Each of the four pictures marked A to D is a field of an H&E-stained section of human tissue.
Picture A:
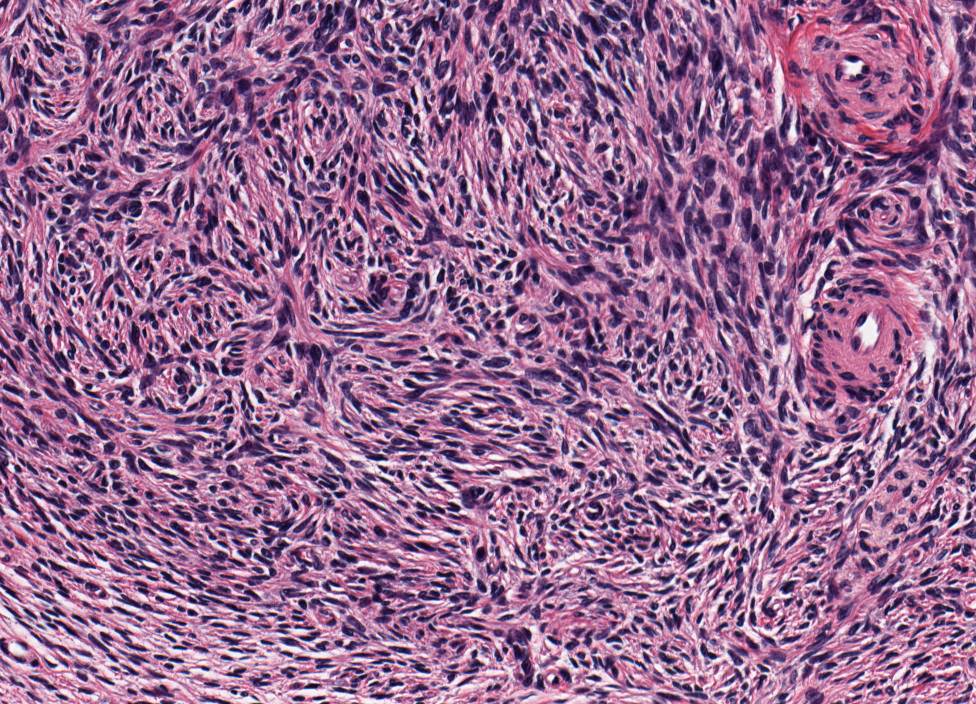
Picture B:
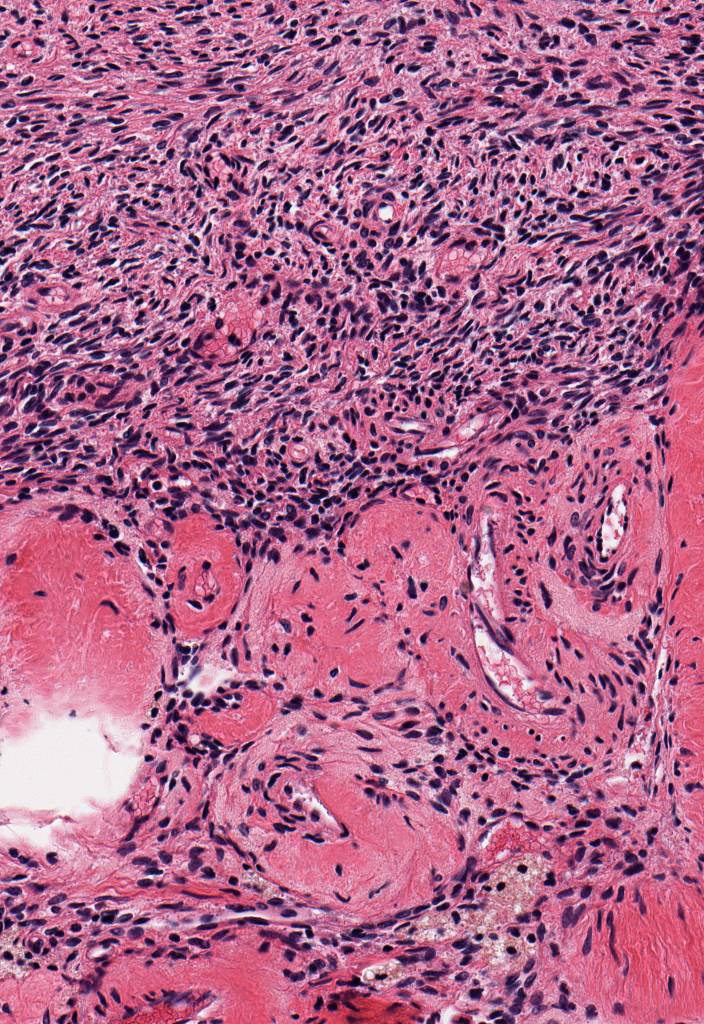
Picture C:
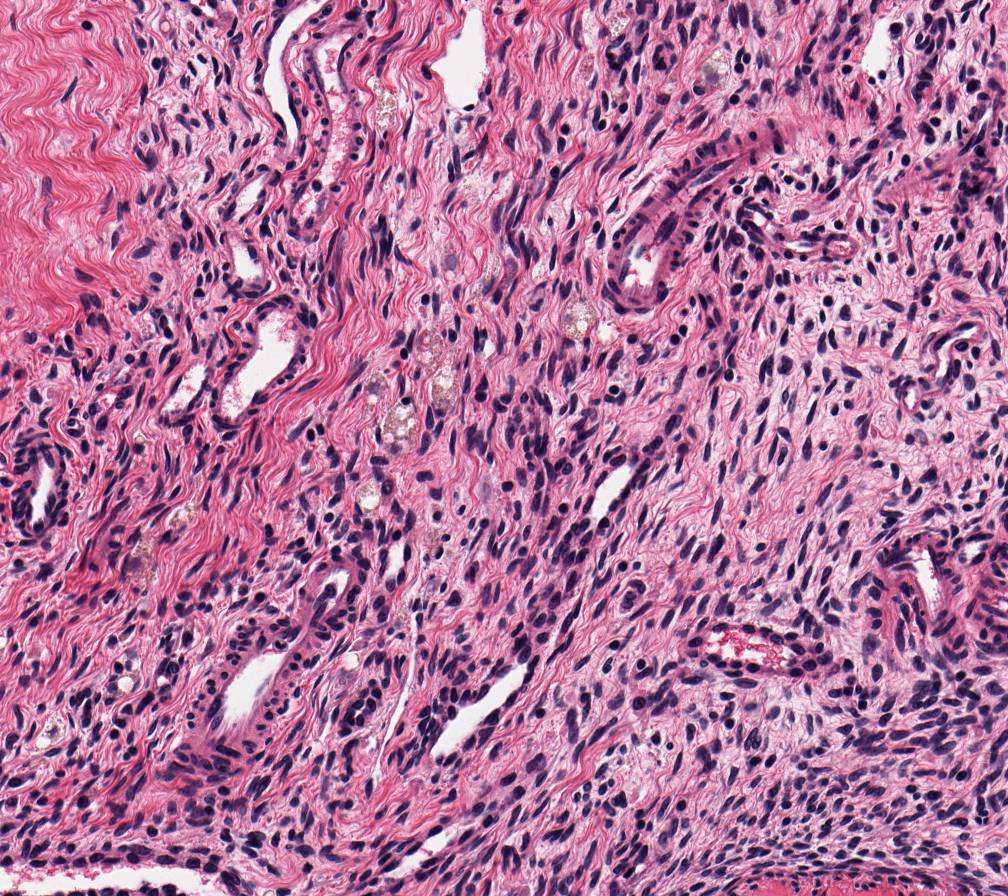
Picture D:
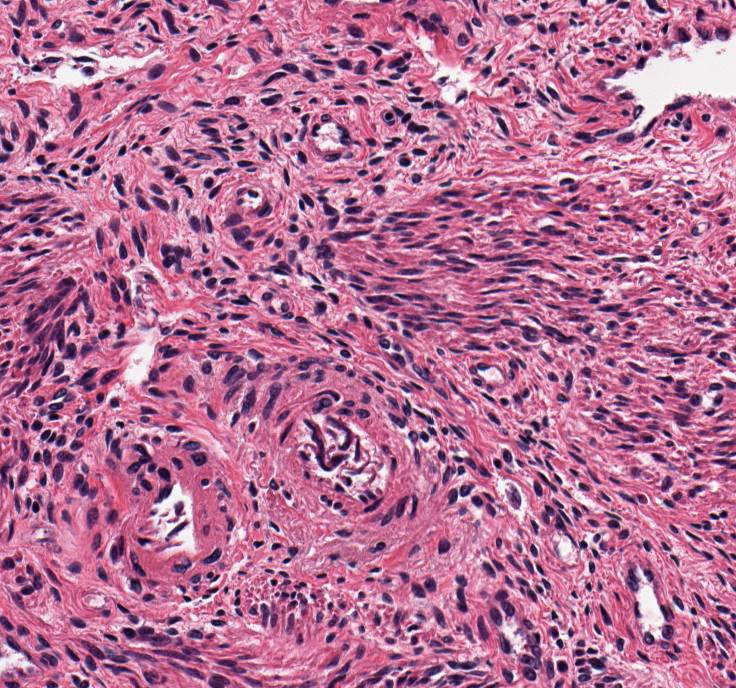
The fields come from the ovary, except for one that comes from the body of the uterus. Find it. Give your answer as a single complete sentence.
Picture D is the field that comes from the body of the uterus.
